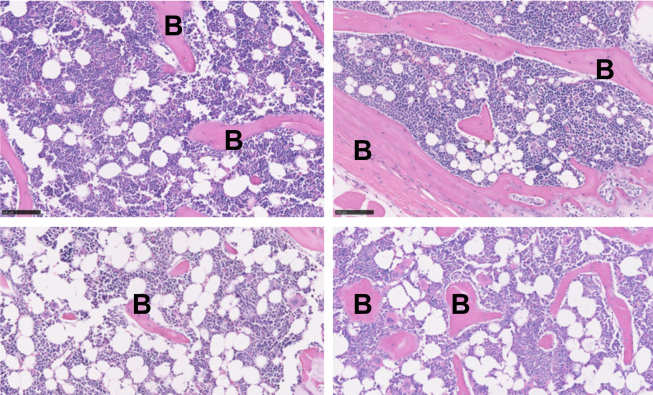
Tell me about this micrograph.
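Pink bony trabeculae cross the marrow spaces. Adipocyte size and number vary between the four fields, with smaller and fewer adipocytes in the upper right field.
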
